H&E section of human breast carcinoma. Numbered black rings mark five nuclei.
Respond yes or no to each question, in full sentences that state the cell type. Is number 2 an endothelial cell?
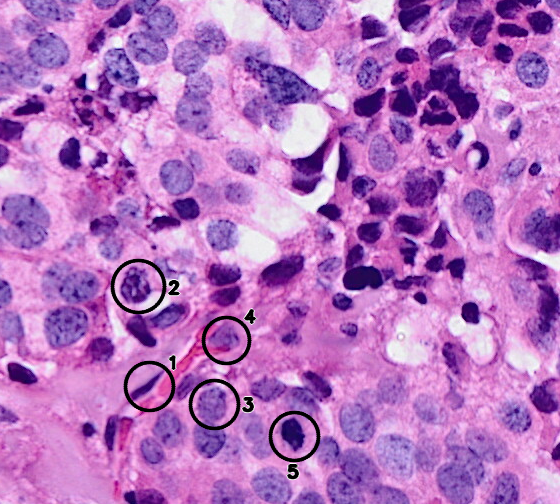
No, calling cell 2 an endothelial cell is incorrect; it is a carcinoma cell.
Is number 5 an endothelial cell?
No, at number 5 sits a carcinoma cell, not an endothelial cell.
